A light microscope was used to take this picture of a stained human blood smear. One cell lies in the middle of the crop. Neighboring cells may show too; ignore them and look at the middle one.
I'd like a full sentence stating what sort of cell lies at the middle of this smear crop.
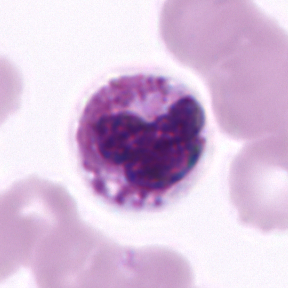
What the crop centres on is an eosinophil.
